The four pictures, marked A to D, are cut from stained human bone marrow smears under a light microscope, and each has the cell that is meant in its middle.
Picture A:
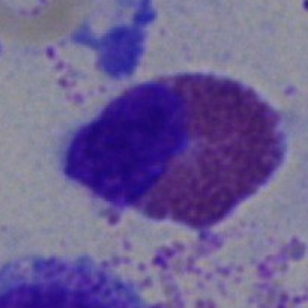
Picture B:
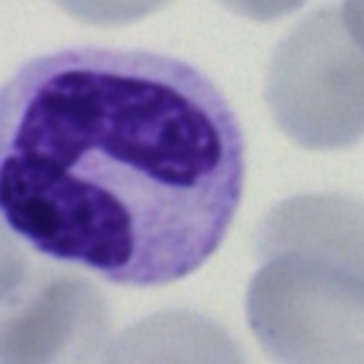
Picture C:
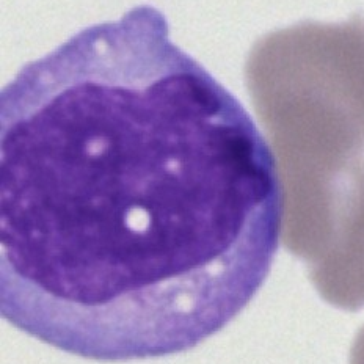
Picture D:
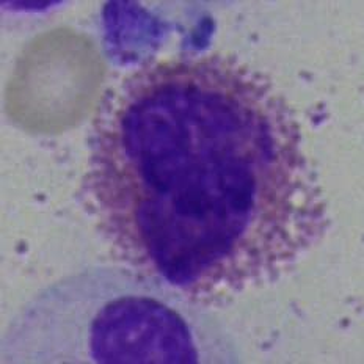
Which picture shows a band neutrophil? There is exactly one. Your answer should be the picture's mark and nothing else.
B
